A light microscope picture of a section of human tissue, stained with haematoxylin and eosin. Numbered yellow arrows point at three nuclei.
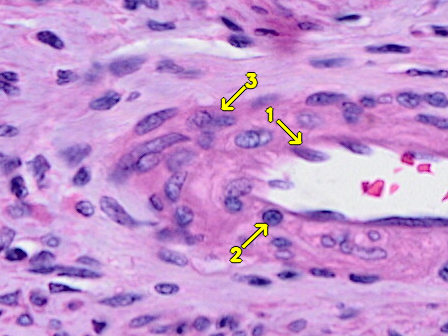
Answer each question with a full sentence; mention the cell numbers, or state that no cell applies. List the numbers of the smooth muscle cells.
The cells that the numbers 2 and 3 belong to are smooth muscle cells.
